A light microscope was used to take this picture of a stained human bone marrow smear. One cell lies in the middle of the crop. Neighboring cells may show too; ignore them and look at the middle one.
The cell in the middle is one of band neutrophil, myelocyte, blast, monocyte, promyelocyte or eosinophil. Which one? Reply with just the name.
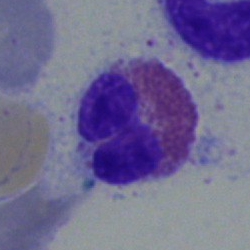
eosinophil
